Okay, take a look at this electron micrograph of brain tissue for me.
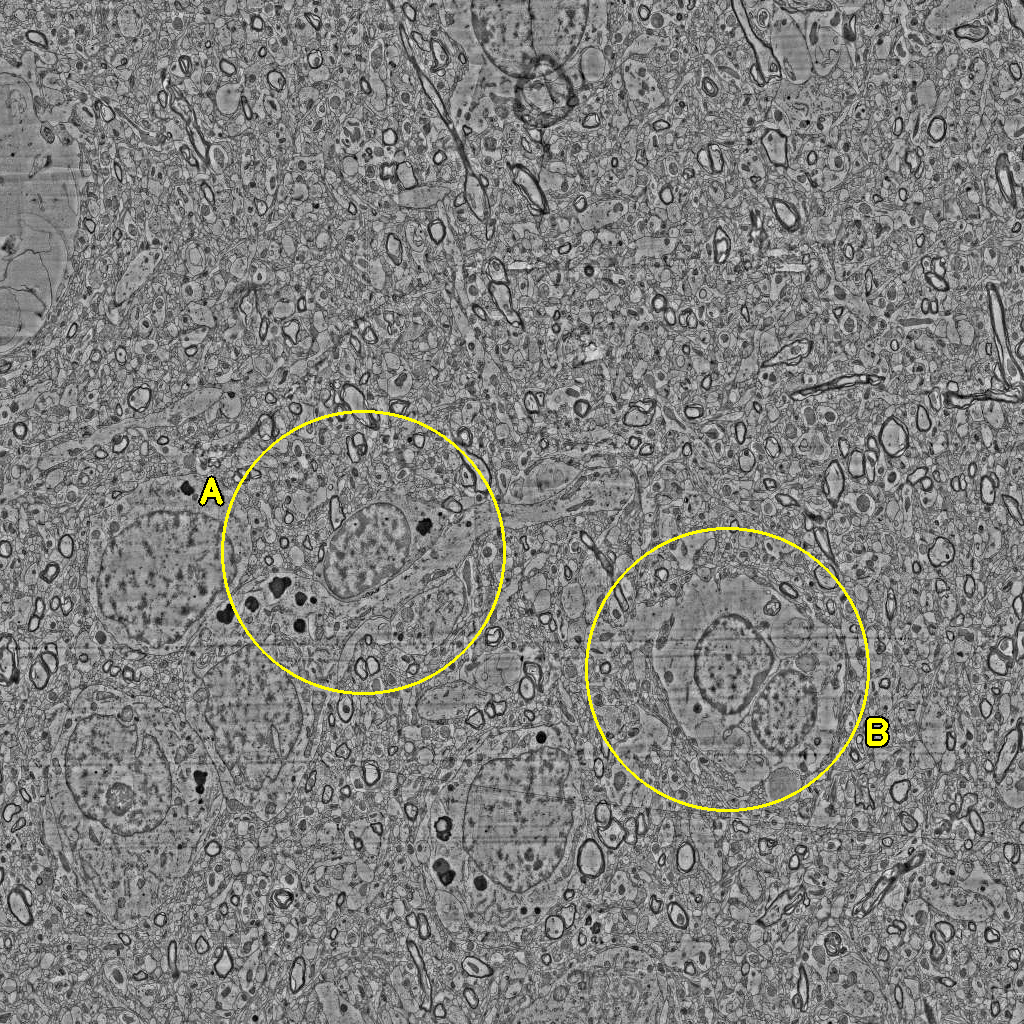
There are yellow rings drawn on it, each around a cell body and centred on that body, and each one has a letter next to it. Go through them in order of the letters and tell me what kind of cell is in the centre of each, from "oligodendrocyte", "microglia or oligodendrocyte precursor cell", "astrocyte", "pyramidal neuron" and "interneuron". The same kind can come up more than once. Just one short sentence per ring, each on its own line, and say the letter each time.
In the centre of ring A there's an oligodendrocyte.
In the centre of ring B there's an astrocyte.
